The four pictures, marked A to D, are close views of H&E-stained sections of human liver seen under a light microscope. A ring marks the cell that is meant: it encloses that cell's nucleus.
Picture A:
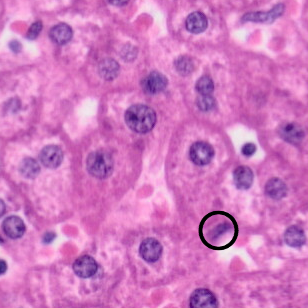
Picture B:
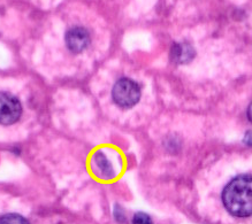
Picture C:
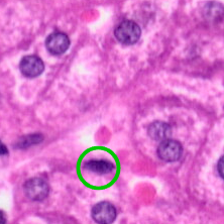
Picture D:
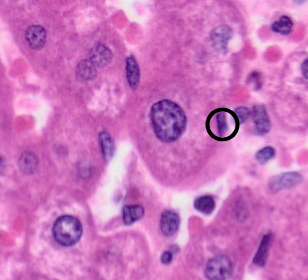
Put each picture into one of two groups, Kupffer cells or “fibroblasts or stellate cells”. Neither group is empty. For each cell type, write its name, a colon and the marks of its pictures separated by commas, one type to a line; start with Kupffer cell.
Kupffer cell: B
fibroblast or stellate cell: A, C, D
